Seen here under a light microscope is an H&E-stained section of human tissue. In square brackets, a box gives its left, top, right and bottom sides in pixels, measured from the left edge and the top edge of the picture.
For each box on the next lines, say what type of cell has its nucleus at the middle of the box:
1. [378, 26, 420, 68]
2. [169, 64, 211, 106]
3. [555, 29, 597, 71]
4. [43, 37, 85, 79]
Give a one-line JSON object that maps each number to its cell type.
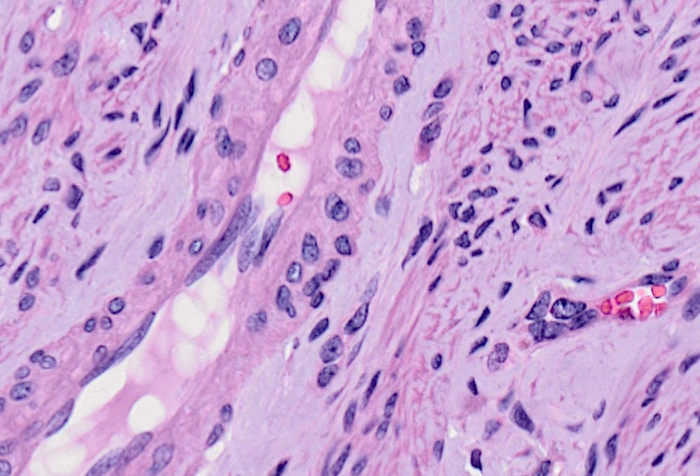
{"1": "smooth muscle cell", "2": "fibroblast", "3": "smooth muscle cell", "4": "smooth muscle cell"}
